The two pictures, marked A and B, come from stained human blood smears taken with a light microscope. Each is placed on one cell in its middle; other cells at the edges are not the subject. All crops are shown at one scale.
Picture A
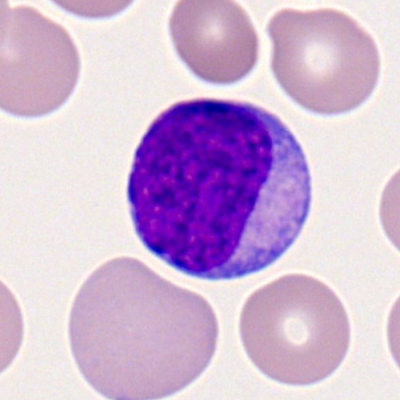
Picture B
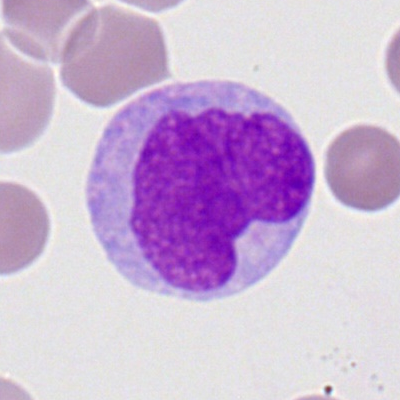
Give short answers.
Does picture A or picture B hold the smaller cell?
A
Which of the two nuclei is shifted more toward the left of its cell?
A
